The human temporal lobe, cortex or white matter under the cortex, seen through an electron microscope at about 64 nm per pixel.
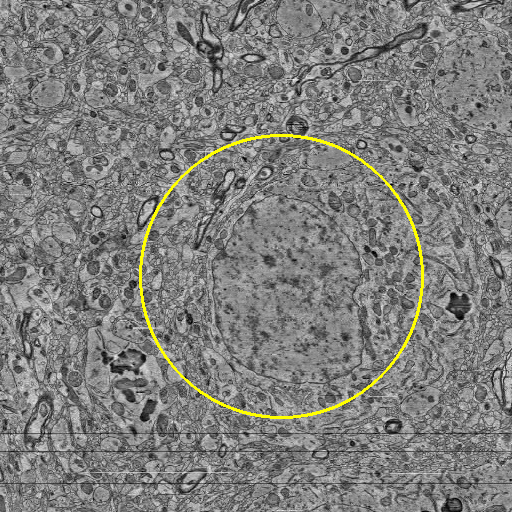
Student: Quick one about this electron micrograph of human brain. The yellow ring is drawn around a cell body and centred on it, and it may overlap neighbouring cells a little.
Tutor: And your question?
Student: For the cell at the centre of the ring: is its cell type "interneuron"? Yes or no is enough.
yes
